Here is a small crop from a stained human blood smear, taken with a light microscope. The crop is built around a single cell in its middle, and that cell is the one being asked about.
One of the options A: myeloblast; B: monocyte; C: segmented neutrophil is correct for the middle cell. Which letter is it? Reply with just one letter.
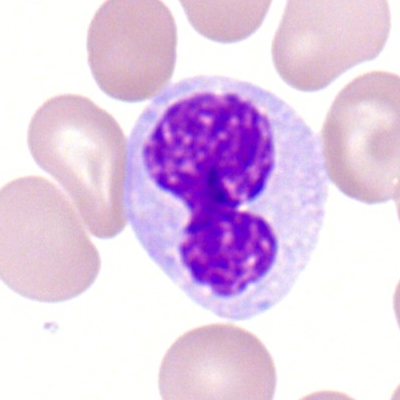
B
